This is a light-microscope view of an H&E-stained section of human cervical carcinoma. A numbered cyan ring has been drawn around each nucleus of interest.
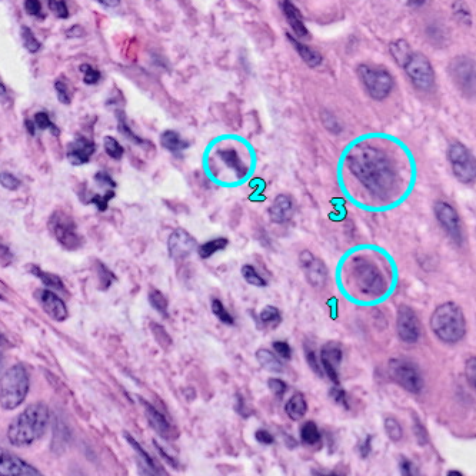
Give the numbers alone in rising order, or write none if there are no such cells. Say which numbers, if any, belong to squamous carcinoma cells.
1, 3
